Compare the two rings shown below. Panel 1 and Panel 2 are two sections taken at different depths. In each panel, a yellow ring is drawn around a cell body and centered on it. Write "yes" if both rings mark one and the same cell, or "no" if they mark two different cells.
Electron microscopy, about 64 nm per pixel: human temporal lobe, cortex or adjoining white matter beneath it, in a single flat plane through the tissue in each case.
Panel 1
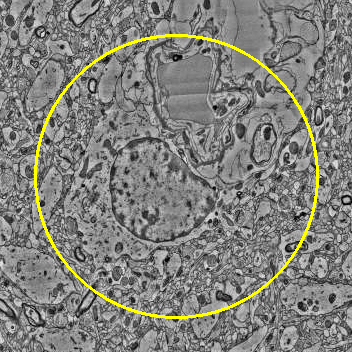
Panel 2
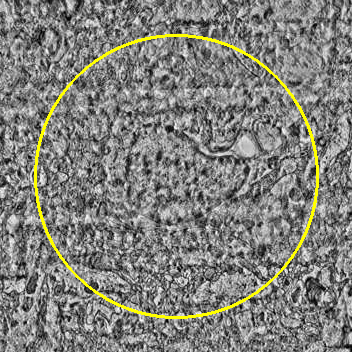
yes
